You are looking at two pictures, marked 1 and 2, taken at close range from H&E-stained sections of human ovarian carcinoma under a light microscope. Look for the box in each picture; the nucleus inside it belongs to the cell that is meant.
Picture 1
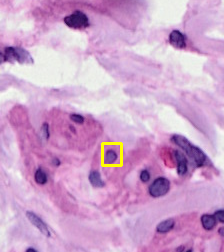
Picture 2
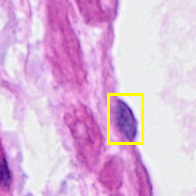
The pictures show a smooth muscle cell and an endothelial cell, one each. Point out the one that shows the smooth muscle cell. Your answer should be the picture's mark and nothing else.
1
